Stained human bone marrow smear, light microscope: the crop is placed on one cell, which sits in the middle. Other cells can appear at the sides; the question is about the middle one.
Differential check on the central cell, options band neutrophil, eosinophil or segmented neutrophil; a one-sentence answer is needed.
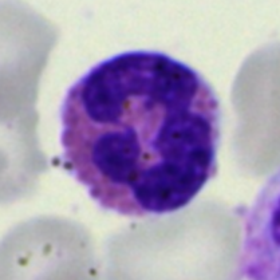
The crop shows an eosinophil in its centre.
